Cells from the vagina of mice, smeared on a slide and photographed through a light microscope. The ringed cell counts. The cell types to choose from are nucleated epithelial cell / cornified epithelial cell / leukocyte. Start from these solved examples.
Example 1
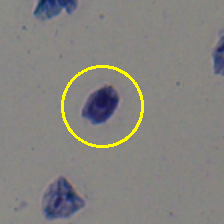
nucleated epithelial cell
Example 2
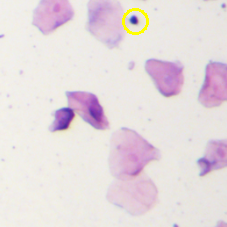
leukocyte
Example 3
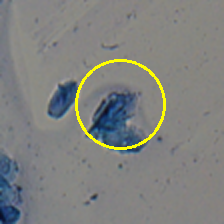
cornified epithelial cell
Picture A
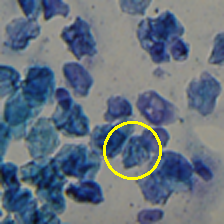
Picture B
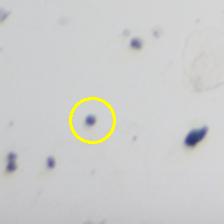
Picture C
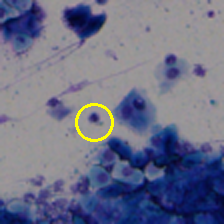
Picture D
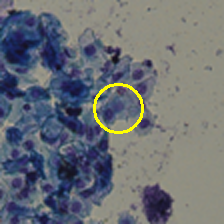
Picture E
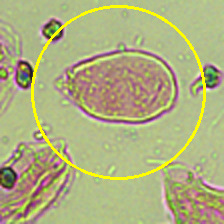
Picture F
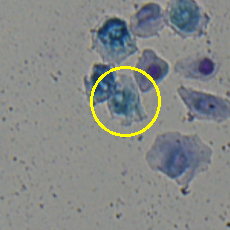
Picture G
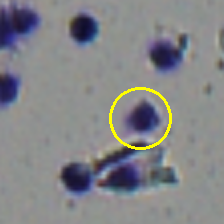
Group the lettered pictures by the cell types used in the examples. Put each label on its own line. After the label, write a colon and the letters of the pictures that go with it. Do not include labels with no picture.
nucleated epithelial cell: D, F
cornified epithelial cell: A, E
leukocyte: B, C, G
